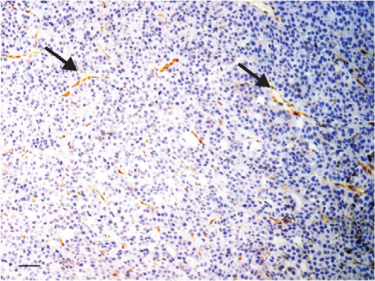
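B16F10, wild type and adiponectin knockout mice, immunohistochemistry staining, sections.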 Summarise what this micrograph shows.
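This is tumor tissue composed of densely packed cells whose small round nuclei are stained blue. One side of the field is more densely cellular with darker blue nuclei, while the rest appears paler.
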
